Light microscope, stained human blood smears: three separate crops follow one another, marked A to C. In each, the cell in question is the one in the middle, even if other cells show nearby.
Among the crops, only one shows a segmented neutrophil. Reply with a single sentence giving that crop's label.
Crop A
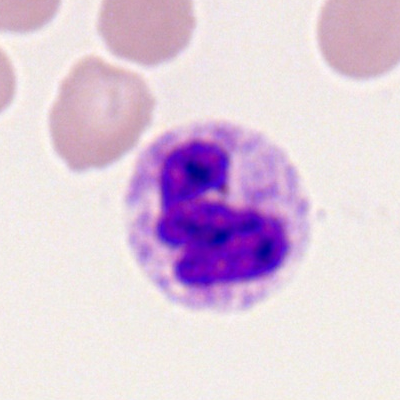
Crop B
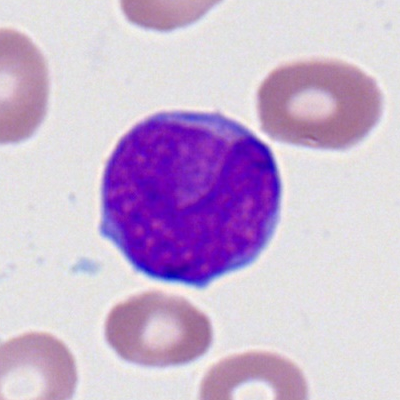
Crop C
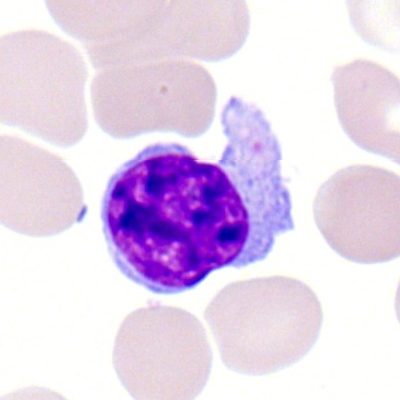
Of these crops, it is crop A that shows a segmented neutrophil.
